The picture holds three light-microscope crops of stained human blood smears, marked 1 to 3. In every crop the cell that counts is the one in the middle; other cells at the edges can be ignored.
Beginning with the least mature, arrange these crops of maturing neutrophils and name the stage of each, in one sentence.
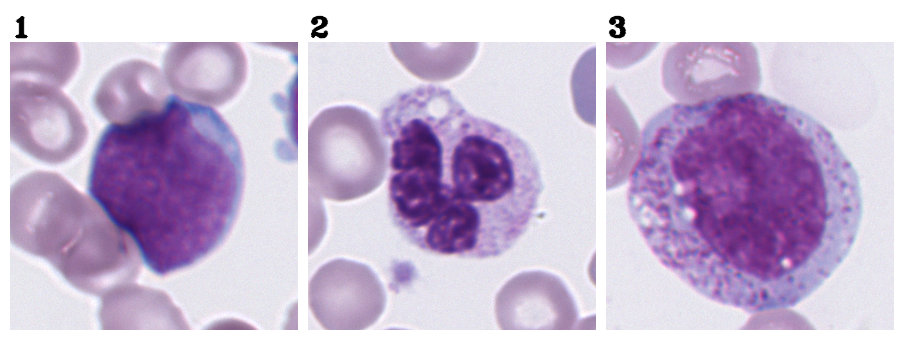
Increasing in maturity, the crops run crop 1 (a blast), crop 3 (a promyelocyte) and crop 2 (a neutrophil).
